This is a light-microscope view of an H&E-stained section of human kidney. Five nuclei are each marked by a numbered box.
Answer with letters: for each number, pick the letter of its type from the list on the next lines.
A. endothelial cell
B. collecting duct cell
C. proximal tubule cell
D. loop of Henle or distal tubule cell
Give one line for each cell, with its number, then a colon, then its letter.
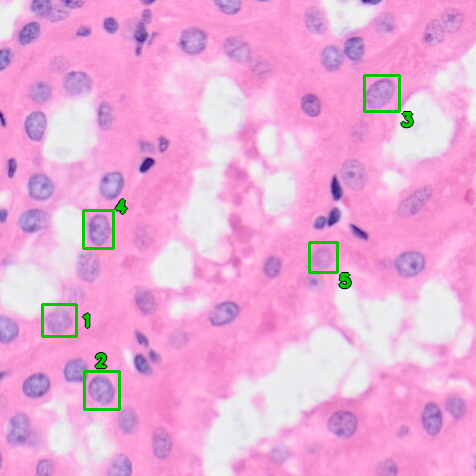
1: D
2: D
3: C
4: D
5: C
